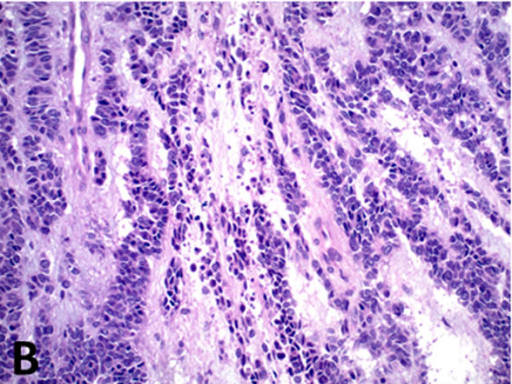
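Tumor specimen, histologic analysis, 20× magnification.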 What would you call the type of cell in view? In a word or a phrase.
Rounded epithelioid to spindle shaped cells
